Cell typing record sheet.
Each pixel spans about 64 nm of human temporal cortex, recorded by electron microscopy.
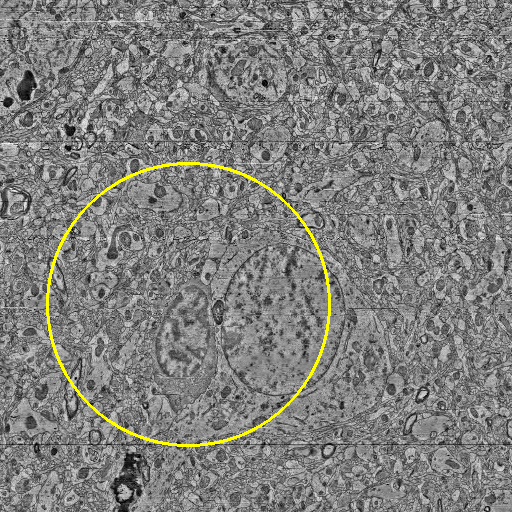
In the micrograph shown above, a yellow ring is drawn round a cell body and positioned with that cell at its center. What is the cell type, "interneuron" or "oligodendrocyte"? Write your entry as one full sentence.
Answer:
The cell body at the center of the ring belongs to an oligodendrocyte.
